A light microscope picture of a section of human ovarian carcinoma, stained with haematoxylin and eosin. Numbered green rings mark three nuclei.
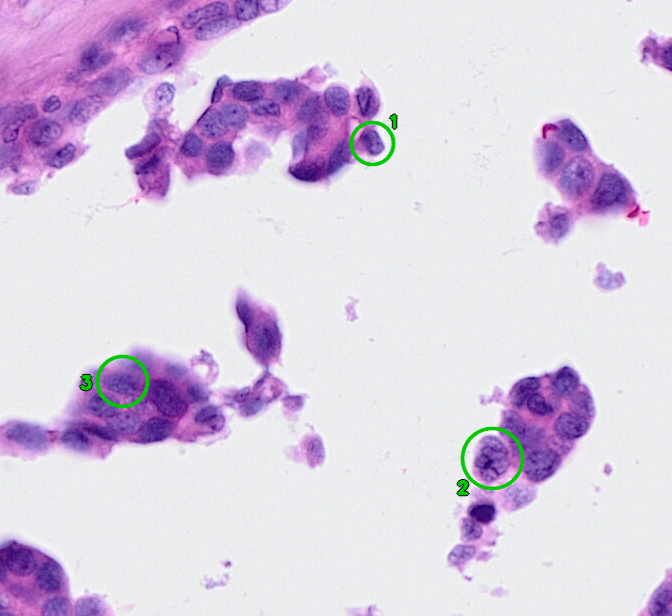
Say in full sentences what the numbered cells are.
Cell 1 is a macrophage or monocyte, cell 2 is a carcinoma cell and cell 3 is a carcinoma cell.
